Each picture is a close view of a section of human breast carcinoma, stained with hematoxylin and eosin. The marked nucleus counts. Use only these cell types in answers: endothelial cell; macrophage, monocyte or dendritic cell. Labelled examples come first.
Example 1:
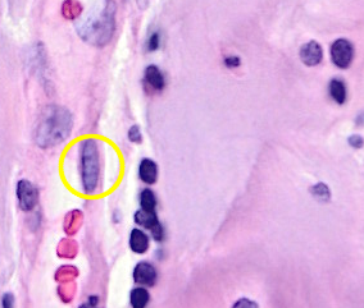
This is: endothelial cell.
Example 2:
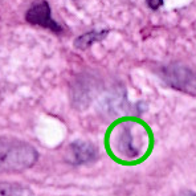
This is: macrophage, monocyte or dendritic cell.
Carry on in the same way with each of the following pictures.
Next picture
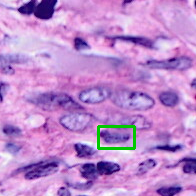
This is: endothelial cell.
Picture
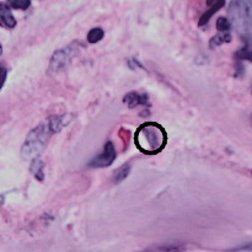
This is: endothelial cell.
